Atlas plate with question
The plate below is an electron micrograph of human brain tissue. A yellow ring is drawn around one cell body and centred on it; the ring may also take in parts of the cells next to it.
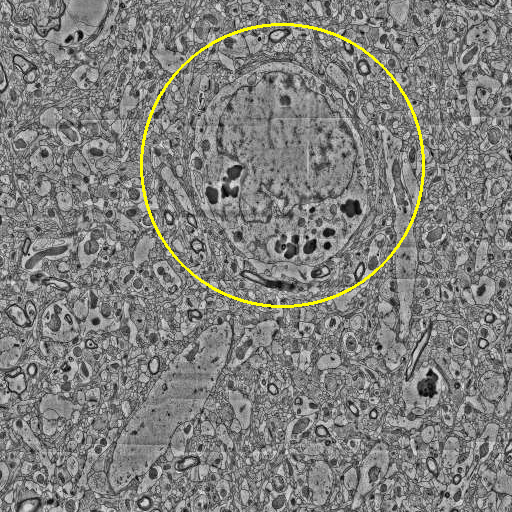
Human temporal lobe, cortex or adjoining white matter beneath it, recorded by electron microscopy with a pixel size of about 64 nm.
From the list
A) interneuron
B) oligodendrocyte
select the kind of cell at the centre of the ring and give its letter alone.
A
